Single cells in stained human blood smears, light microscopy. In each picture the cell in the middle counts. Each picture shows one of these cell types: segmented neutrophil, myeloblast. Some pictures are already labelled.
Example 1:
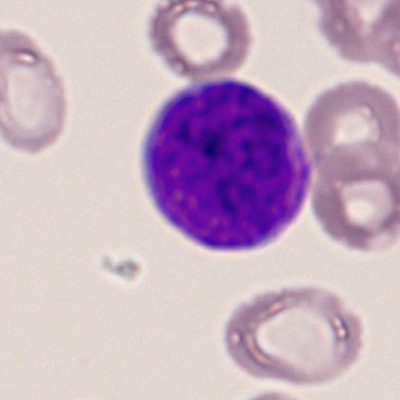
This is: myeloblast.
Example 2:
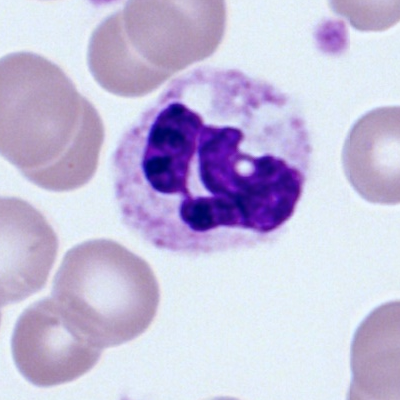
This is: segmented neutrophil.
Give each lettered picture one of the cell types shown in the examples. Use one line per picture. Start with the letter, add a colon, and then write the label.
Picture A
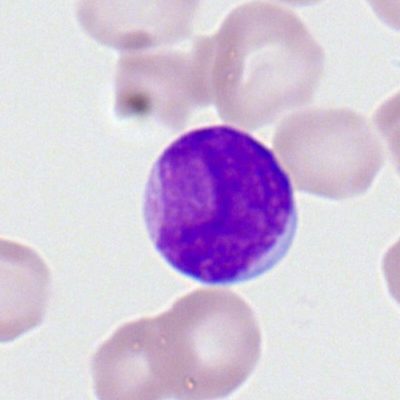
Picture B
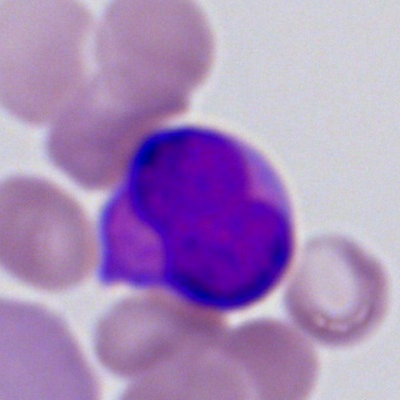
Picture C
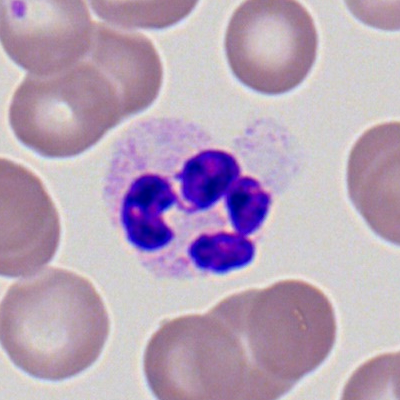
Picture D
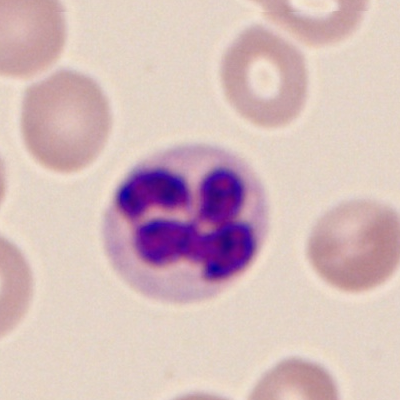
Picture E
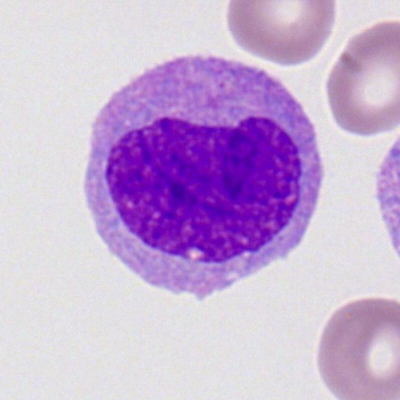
A: myeloblast.
B: myeloblast.
C: segmented neutrophil.
D: segmented neutrophil.
E: myeloblast.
